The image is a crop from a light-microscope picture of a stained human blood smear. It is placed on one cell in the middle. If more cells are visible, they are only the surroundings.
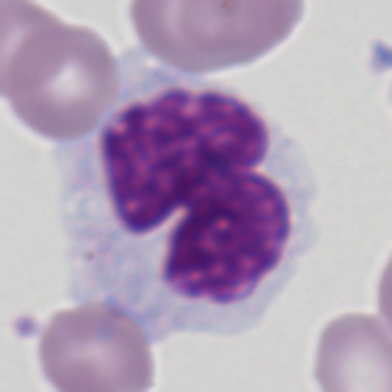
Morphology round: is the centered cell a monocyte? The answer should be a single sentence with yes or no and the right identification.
Yes, the middle cell is properly termed a monocyte.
